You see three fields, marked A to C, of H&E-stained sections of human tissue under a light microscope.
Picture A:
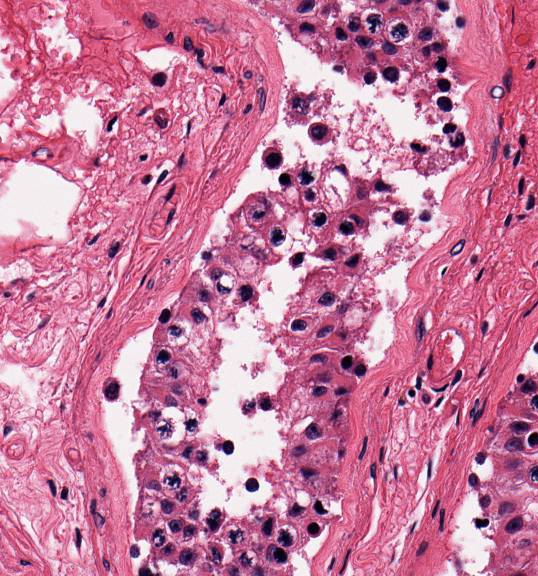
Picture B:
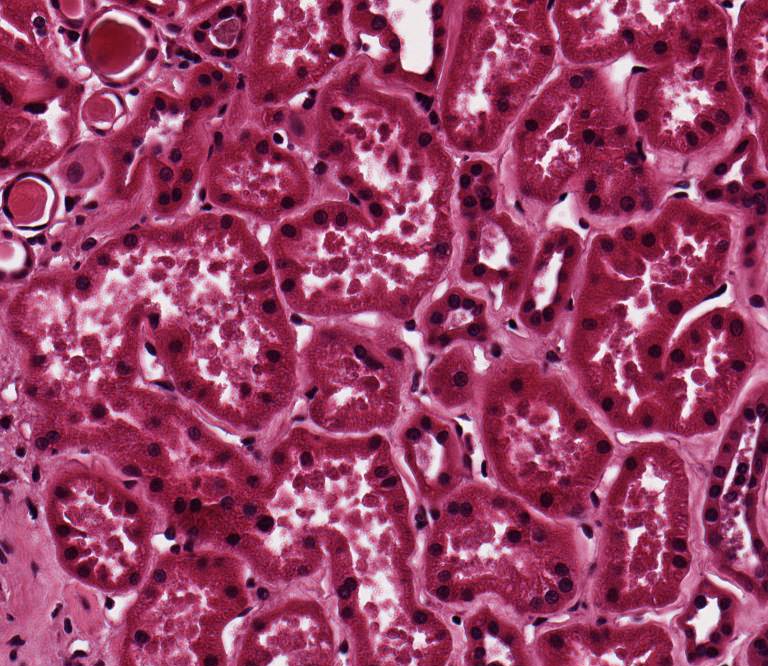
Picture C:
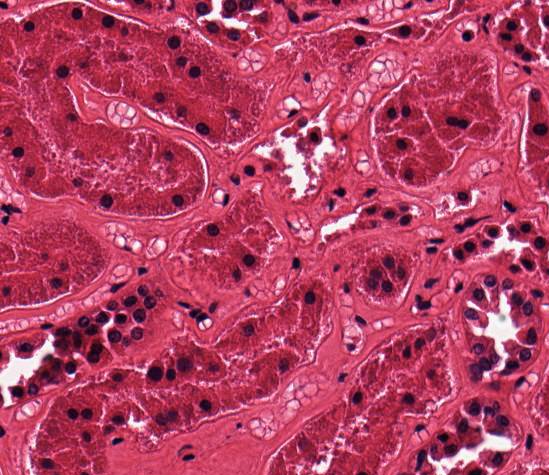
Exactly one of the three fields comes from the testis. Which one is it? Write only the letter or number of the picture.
A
